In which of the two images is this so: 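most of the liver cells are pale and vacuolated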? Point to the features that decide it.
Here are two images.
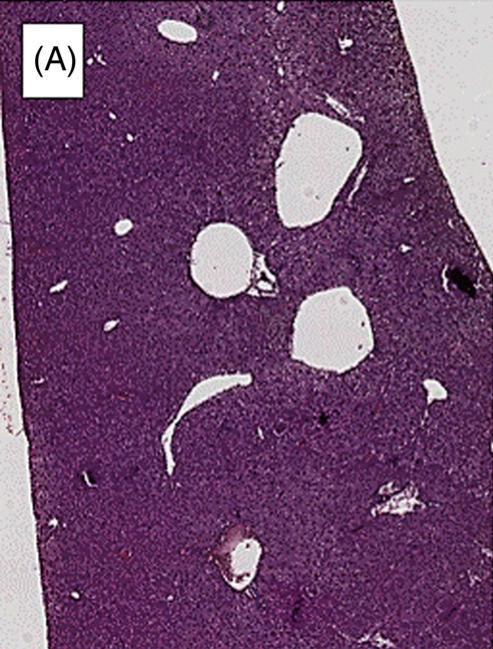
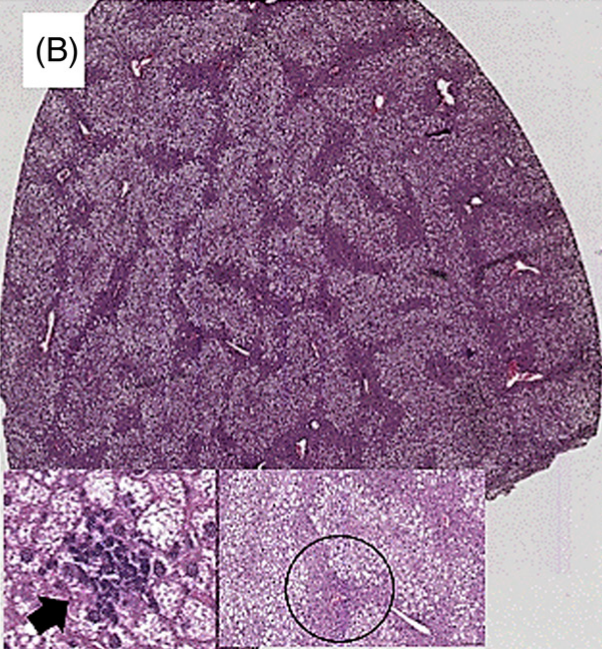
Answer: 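Second image: much of the parenchyma is pale and vacuolated, with darker bands between. First image: the parenchyma is uniformly dense purple without pale vacuolated areas. The answer: the second image.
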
